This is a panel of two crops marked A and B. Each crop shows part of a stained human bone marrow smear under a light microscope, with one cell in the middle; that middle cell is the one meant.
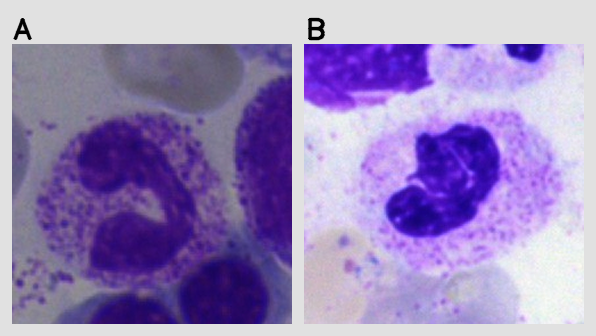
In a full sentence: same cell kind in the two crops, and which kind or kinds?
Yes, segmented neutrophils are the central cells in the two crops.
